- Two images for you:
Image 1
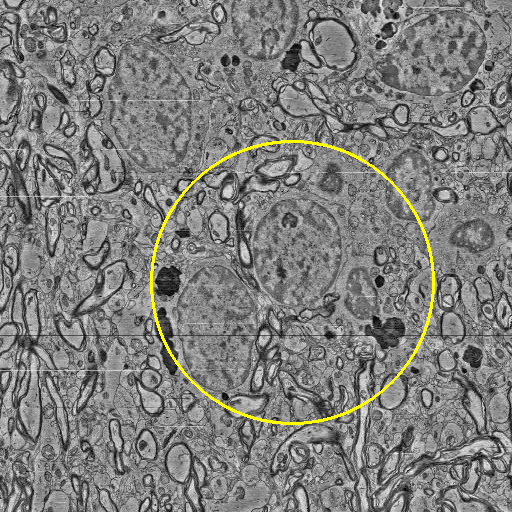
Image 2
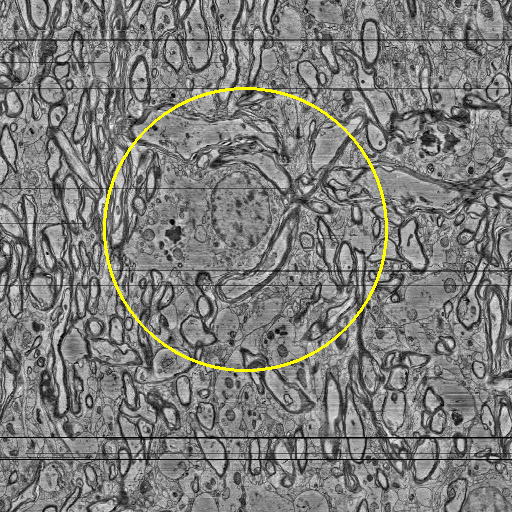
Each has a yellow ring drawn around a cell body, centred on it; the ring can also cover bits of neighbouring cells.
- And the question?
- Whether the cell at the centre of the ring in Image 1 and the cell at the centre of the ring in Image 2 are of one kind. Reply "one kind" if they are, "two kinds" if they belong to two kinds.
two kinds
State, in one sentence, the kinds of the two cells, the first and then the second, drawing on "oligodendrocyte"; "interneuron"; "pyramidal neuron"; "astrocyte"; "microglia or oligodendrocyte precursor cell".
The ring in the second picture is centred on an astrocyte, the ring in the first on an oligodendrocyte.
